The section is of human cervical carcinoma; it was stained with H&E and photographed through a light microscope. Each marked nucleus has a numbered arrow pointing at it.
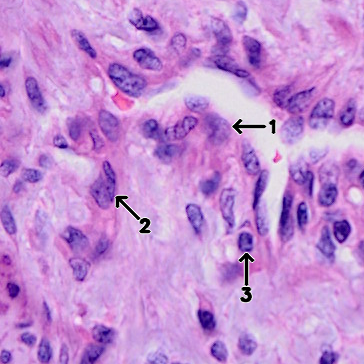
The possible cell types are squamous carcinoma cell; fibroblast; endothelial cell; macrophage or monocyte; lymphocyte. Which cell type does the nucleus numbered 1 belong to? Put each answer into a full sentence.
The nucleus labelled 1 belongs to an endothelial cell.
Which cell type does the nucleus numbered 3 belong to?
The cell pointed out by number 3 is a lymphocyte.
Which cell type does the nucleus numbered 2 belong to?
Corresponding to an endothelial cell is the cell labelled 2.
